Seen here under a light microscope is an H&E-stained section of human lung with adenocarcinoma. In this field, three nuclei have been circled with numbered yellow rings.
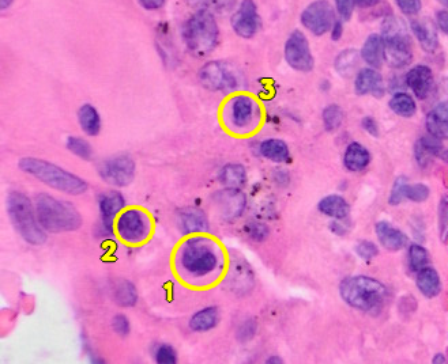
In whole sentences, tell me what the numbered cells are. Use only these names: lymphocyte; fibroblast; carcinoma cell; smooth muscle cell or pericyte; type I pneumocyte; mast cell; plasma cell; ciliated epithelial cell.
Cell 1 is a lymphocyte, cell 2 is a plasma cell and cell 3 is a lymphocyte.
